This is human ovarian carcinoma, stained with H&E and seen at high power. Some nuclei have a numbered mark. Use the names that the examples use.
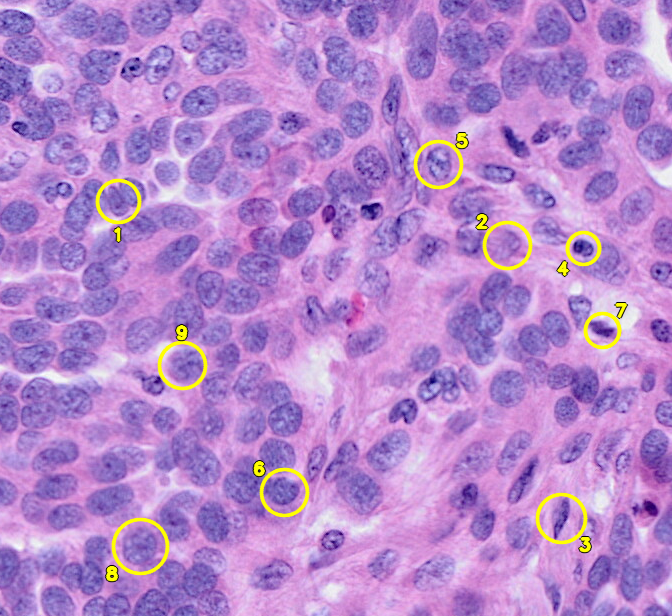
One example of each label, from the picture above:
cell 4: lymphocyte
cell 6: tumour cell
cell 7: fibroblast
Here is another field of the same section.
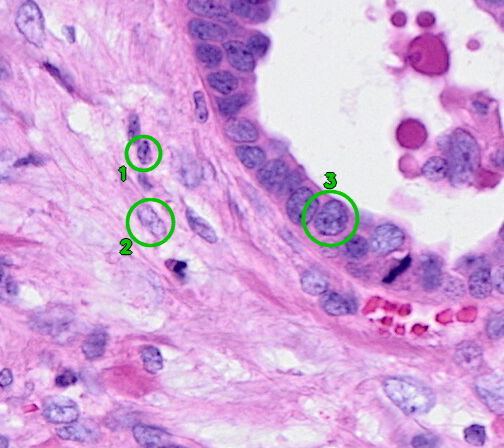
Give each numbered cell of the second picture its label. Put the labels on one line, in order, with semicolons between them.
lymphocyte; fibroblast; tumour cell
